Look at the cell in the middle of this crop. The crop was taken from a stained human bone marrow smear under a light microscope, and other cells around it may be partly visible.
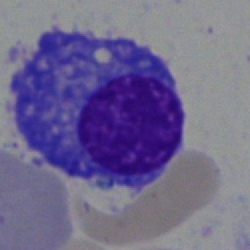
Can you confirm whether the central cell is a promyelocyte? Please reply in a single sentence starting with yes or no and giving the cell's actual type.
No, it is not a promyelocyte that sits at the centre but a plasma cell.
